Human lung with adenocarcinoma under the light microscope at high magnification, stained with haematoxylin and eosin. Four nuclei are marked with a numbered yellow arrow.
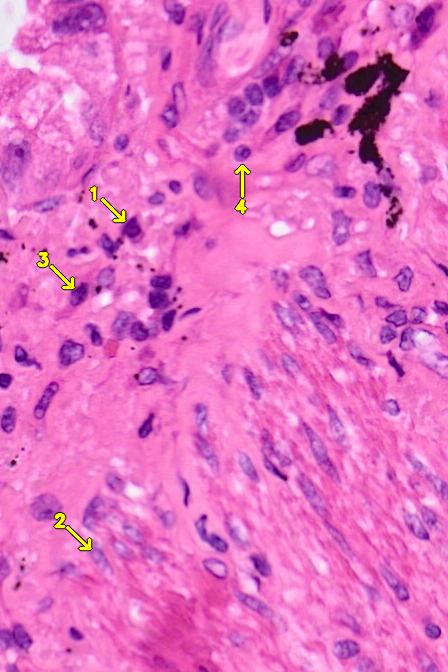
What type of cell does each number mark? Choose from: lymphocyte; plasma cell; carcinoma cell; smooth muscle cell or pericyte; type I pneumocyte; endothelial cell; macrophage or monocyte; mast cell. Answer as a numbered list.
1. plasma cell
2. smooth muscle cell or pericyte
3. plasma cell
4. lymphocyte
